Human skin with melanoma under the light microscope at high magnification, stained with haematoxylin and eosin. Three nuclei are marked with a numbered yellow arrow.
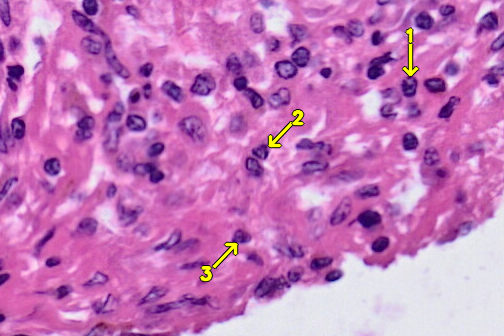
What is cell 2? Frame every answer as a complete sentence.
The cell pointed out by number 2 is a plasma cell.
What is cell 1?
The marked cell bearing number 1 is a plasma cell.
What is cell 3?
The correct answer for cell 3 is a lymphocyte.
